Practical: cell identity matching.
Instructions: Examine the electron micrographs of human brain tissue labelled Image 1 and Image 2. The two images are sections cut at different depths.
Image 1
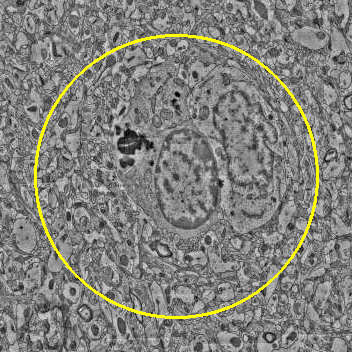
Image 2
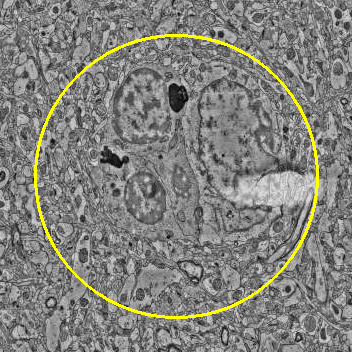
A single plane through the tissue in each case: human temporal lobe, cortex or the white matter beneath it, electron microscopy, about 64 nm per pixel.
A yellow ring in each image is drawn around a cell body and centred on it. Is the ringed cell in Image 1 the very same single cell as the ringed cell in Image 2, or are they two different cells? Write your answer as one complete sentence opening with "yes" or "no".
Yes, a single cell is the subject of both yellow rings.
